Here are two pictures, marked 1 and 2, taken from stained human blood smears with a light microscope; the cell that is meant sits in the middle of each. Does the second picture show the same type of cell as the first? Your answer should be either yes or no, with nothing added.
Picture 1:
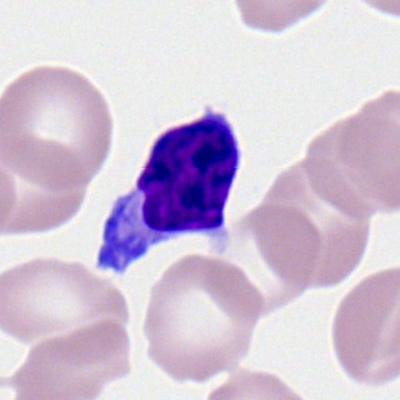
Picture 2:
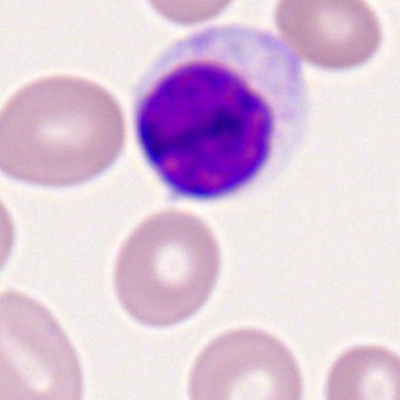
yes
